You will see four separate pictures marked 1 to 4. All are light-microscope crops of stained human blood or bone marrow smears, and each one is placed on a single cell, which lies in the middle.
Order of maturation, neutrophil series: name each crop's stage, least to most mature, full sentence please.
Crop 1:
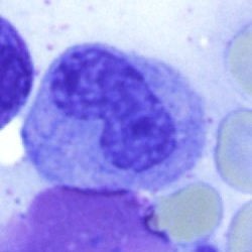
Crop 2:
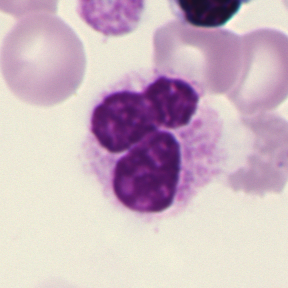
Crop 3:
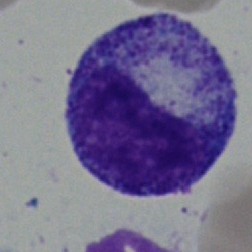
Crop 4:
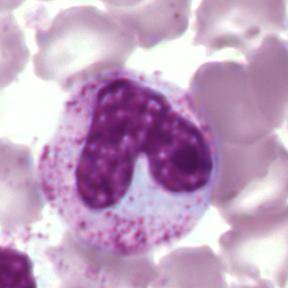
The maturation sequence, earliest to latest, reads crop 3 (a myelocyte), crop 1 (a metamyelocyte), crop 4 (a band neutrophil) and crop 2 (a segmented neutrophil).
